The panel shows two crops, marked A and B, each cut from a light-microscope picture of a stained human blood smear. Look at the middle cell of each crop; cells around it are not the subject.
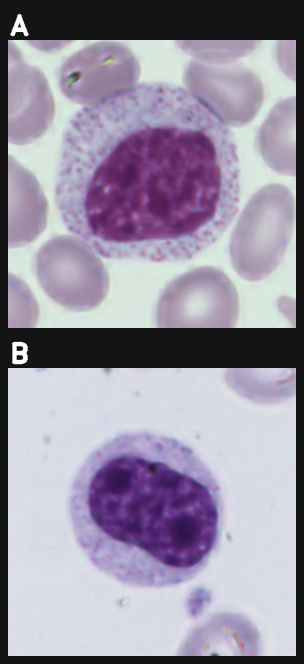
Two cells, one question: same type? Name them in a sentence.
Yes, the central cells, in both crops, are metamyelocytes.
